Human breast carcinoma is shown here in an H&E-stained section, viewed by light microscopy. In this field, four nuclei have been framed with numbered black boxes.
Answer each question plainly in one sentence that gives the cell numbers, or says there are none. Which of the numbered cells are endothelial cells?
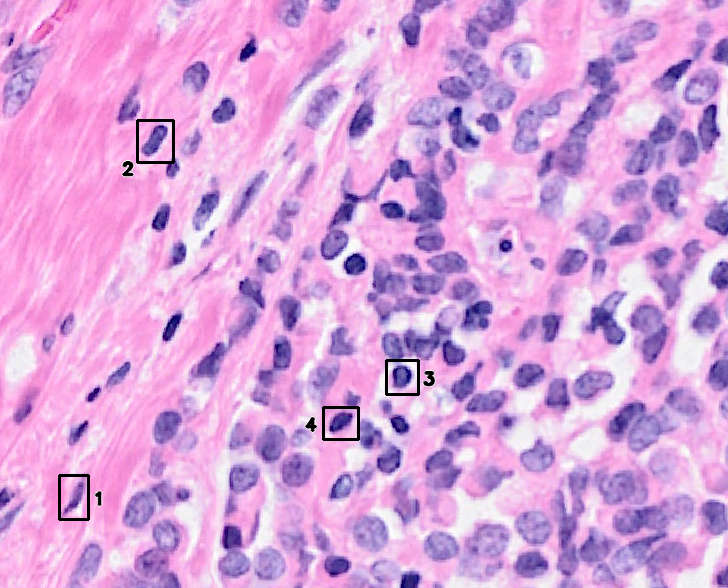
The numbered cells and the endothelial cells have no member in common.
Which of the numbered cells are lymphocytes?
The cells which carry the numbers 2, 3 and 4 are lymphocytes.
